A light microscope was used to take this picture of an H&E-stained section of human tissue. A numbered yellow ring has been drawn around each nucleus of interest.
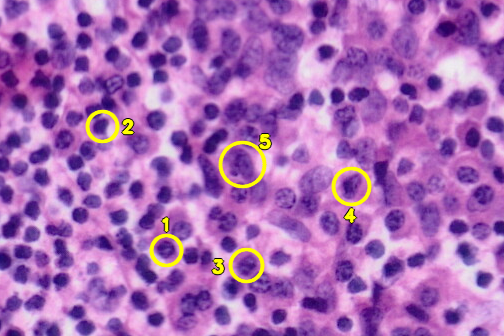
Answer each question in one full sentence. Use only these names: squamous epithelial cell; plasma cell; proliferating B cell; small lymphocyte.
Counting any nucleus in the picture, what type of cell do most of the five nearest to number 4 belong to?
The majority of the five nuclei closest to number 4 belong to squamous epithelial cells.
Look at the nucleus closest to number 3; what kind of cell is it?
The cell nearest to number 3 is a plasma cell.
